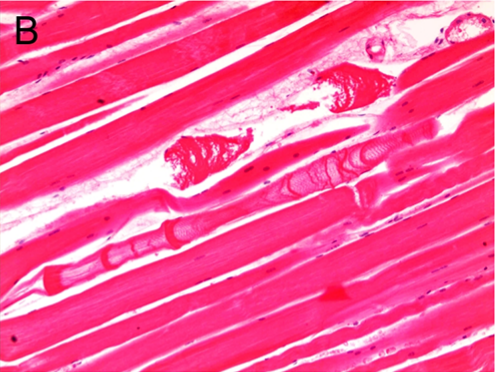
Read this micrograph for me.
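Here are long muscle fibers running diagonally across the field, bright pink and cross-striated, with small dark nuclei at their edges. Several fibers are not intact: in places the pink sarcoplasm has pulled apart into separate segments, and some segments are shrunken into dense clumps or look coiled like a concertina. Pale, watery spaces separate many of the fibers from each other, widening the gaps between them. Undamaged fibers lie right beside the damaged ones, so the change is patchy.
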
